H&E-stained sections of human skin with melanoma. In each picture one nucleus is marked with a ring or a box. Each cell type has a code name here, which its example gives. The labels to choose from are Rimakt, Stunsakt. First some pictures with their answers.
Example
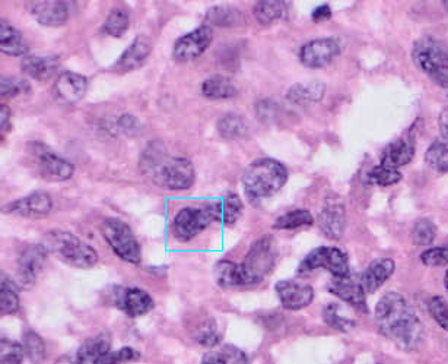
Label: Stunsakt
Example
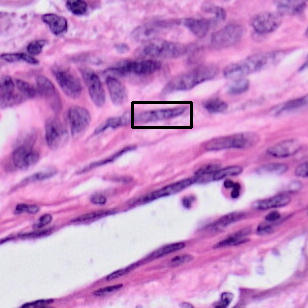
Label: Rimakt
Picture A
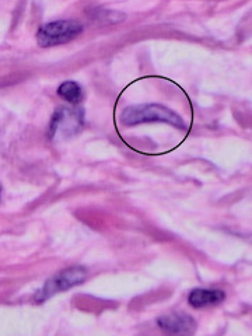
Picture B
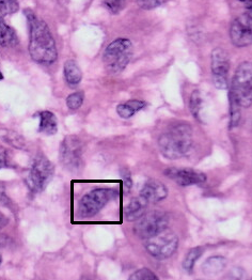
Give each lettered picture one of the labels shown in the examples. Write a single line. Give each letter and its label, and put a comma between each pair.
A Rimakt, B Stunsakt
